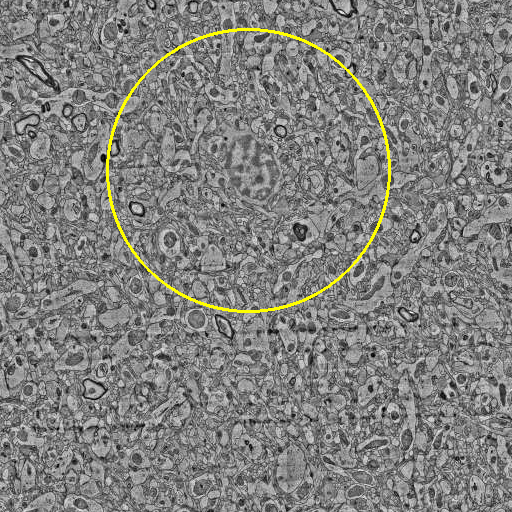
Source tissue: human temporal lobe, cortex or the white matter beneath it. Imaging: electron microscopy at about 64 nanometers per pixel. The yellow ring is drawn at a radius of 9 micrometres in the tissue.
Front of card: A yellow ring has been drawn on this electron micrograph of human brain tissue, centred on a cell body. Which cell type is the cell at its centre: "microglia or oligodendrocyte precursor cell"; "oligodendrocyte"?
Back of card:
oligodendrocyte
